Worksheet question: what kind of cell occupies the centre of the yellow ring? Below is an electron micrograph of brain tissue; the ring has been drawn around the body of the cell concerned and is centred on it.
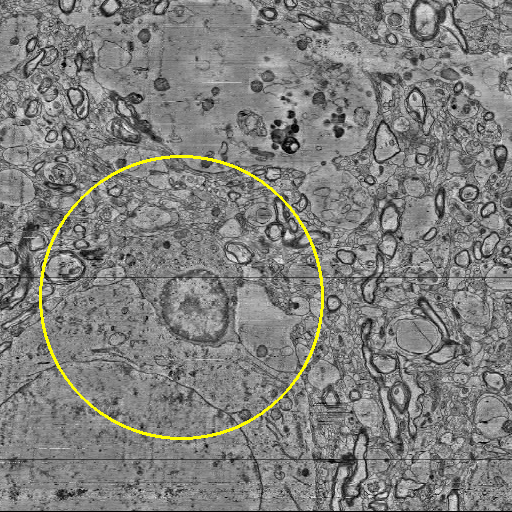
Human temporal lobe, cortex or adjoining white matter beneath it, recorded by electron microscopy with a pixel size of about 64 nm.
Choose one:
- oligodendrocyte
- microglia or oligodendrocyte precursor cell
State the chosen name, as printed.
oligodendrocyte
